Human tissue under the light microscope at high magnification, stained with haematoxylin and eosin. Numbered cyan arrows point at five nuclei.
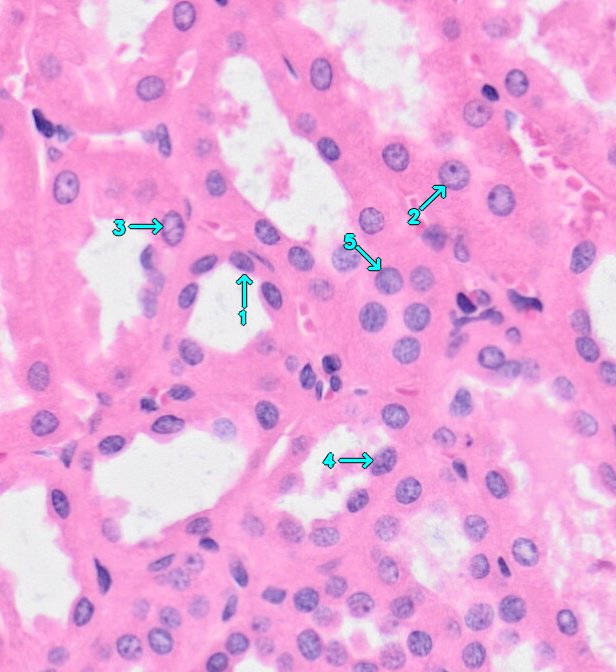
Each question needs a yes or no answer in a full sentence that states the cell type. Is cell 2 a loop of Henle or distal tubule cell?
No, cell 2 is classified as a proximal tubule cell rather than a loop of Henle or distal tubule cell.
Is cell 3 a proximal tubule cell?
Yes, the cell at marker 3 is a proximal tubule cell.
